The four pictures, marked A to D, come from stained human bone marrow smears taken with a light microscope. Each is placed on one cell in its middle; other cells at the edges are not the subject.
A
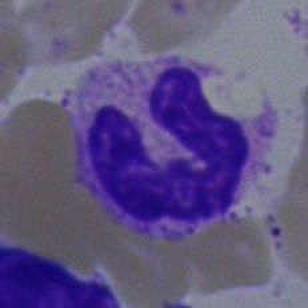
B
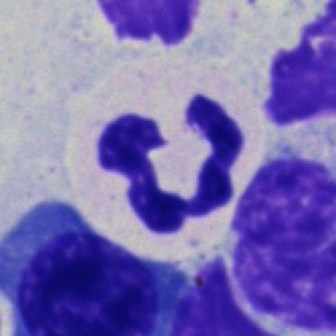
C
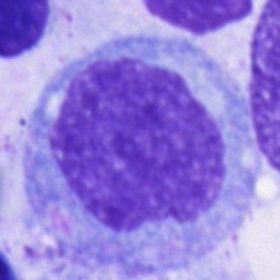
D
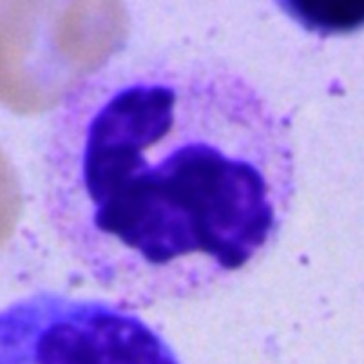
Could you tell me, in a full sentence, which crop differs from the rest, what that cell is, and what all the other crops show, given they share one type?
As the exception to the segmented neutrophils in the other crops, crop C shows a monocyte.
